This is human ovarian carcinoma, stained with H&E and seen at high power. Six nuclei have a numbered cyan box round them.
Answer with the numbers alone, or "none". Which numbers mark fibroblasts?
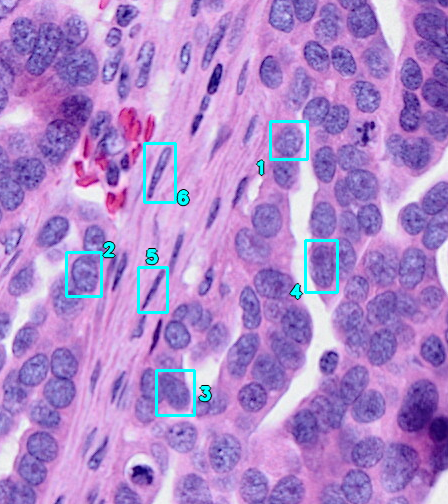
5, 6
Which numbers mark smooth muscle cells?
none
